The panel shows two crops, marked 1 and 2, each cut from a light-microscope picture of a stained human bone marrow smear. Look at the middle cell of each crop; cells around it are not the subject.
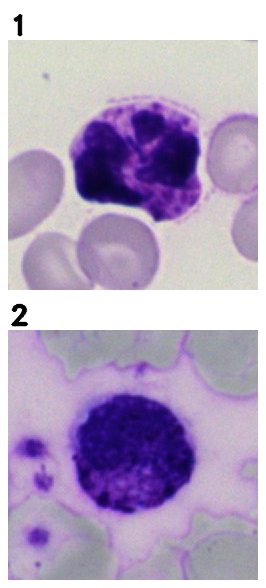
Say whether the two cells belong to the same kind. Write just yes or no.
yes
